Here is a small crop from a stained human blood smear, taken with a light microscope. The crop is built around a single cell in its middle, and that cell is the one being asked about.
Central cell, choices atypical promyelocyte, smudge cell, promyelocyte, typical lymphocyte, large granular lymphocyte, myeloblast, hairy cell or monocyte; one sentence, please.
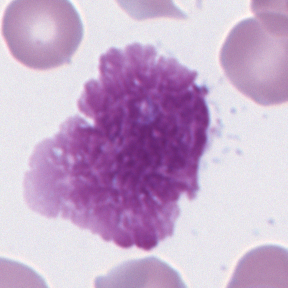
Occupying the centre of the crop is a smudge cell.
